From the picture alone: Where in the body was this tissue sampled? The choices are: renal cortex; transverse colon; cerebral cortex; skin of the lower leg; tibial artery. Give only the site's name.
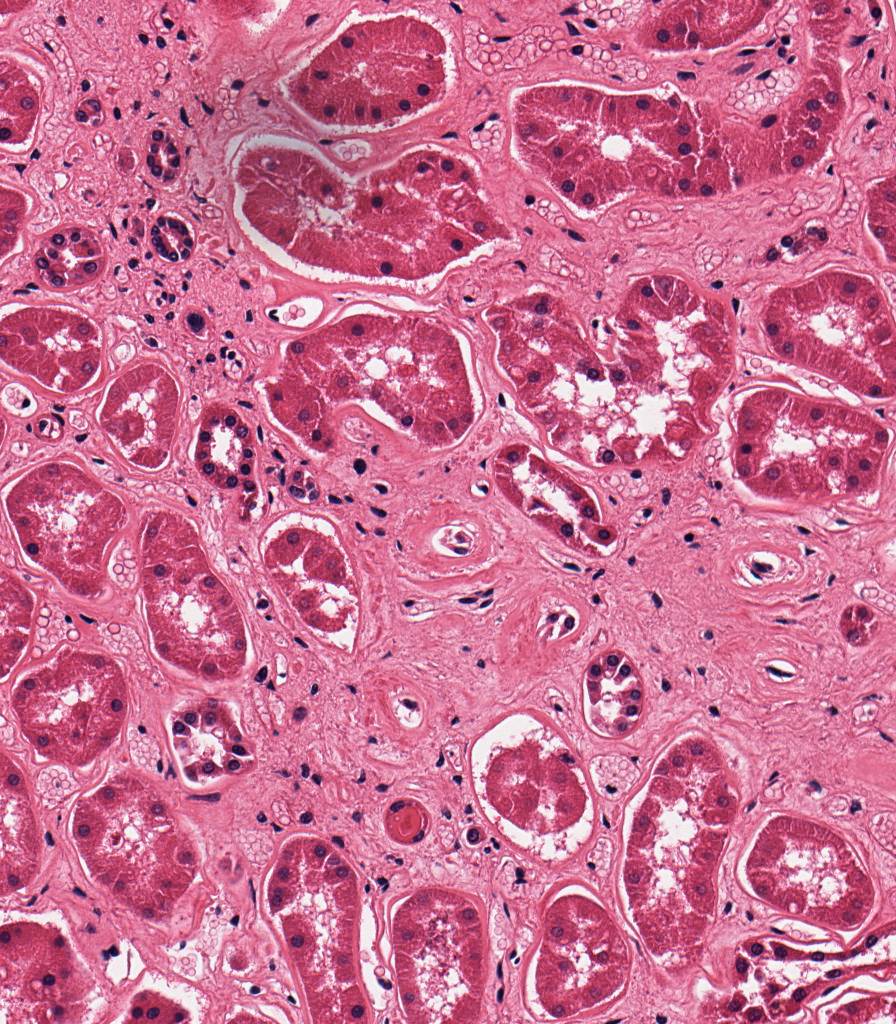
renal cortex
